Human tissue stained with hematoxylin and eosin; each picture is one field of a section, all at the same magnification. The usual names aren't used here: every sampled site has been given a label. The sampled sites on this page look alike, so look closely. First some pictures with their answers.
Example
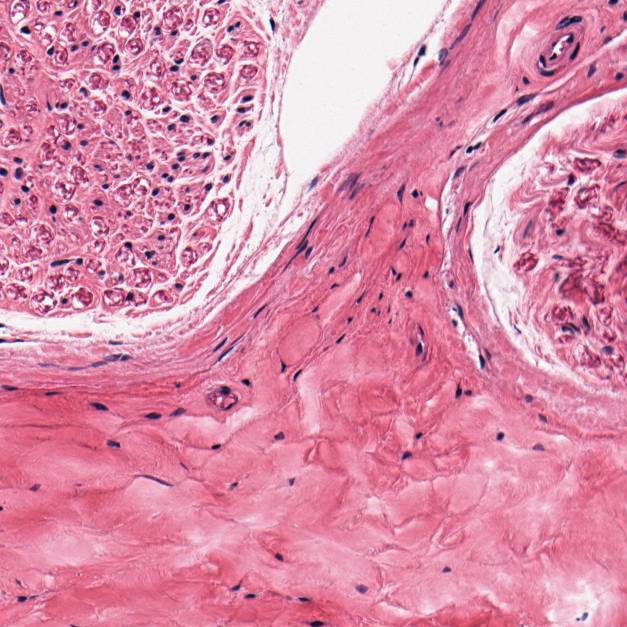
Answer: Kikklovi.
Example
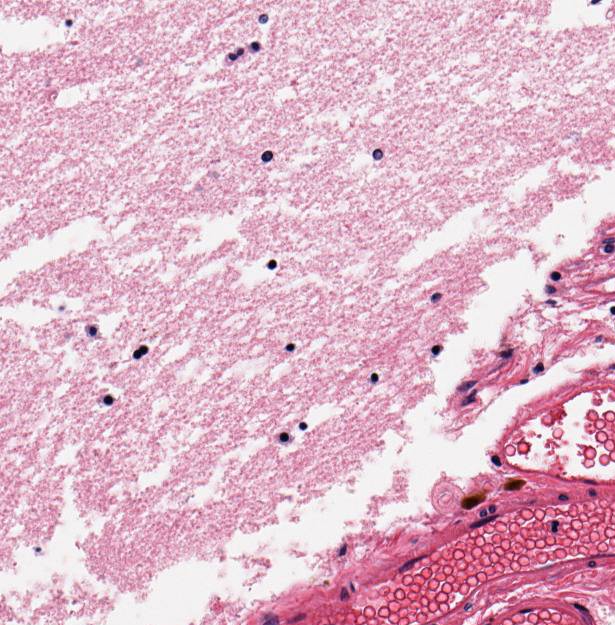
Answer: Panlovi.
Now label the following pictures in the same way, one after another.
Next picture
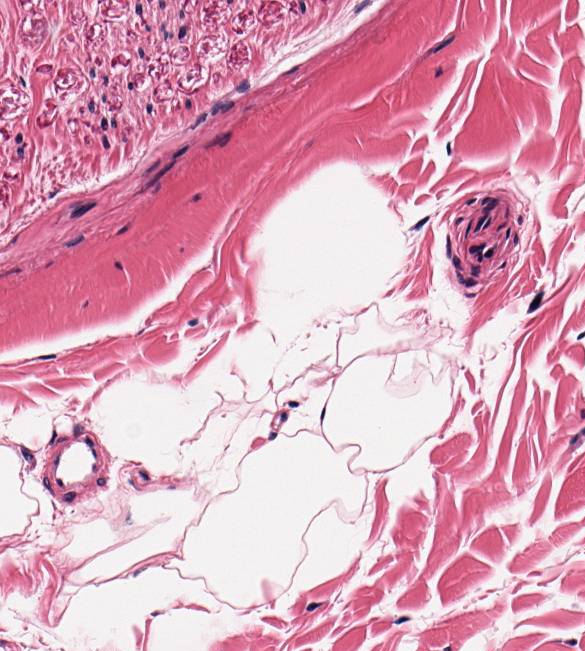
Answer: Kikklovi.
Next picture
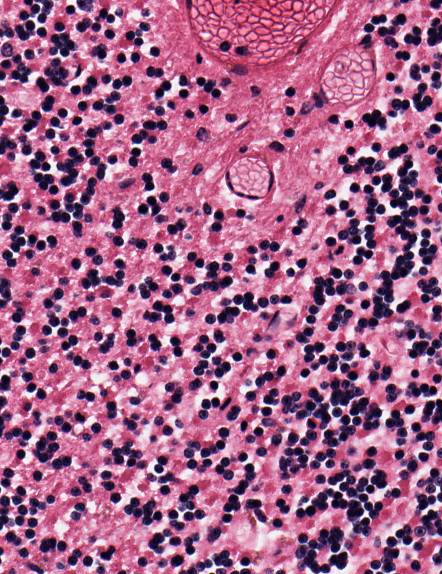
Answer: Panlovi.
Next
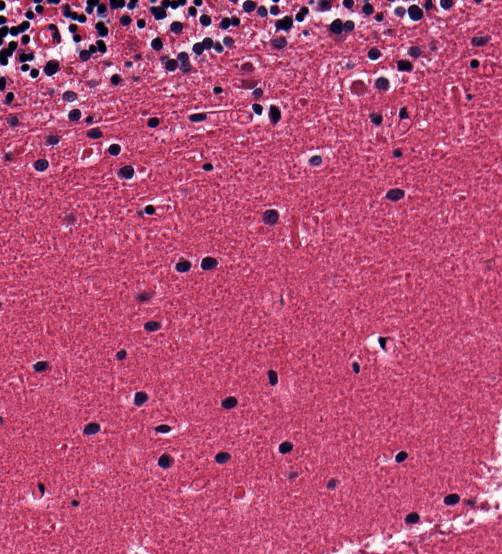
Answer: Panlovi.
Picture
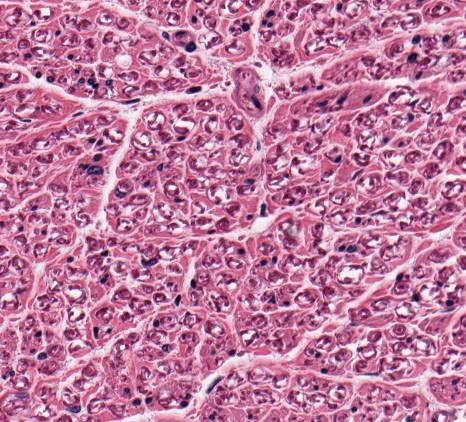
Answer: Kikklovi.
